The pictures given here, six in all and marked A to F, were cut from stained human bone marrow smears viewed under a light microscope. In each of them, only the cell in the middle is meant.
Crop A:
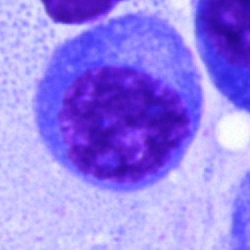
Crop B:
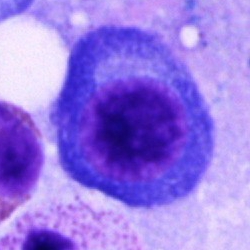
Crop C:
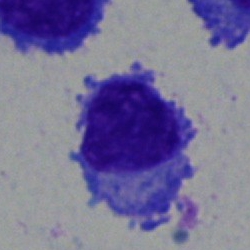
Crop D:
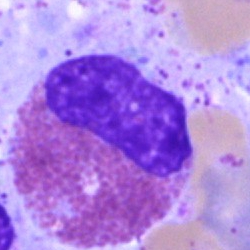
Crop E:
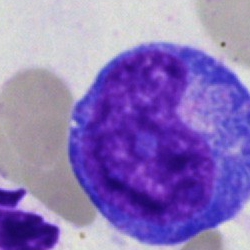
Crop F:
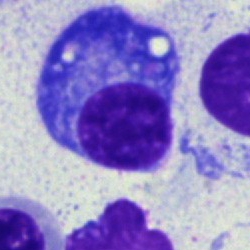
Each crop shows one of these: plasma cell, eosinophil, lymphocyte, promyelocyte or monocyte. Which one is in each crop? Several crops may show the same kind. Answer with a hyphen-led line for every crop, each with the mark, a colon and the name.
- A: plasma cell
- B: plasma cell
- C: plasma cell
- D: eosinophil
- E: monocyte
- F: plasma cell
